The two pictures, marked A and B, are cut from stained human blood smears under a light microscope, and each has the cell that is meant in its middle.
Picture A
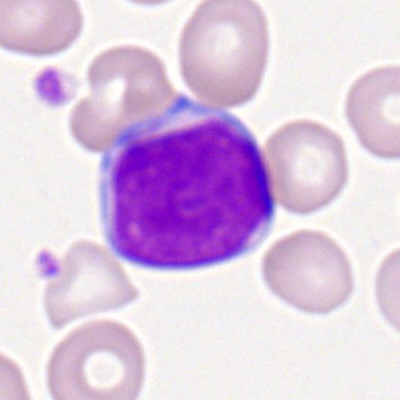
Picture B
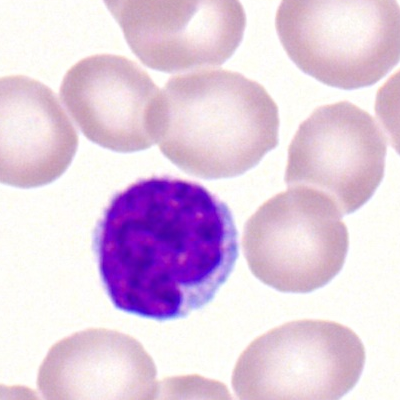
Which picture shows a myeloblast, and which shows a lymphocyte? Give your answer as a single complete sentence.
The cell in picture A is a myeloblast, and the one in picture B is a lymphocyte.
